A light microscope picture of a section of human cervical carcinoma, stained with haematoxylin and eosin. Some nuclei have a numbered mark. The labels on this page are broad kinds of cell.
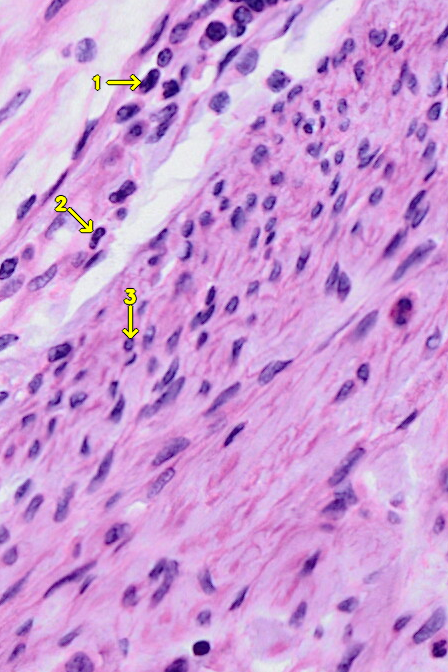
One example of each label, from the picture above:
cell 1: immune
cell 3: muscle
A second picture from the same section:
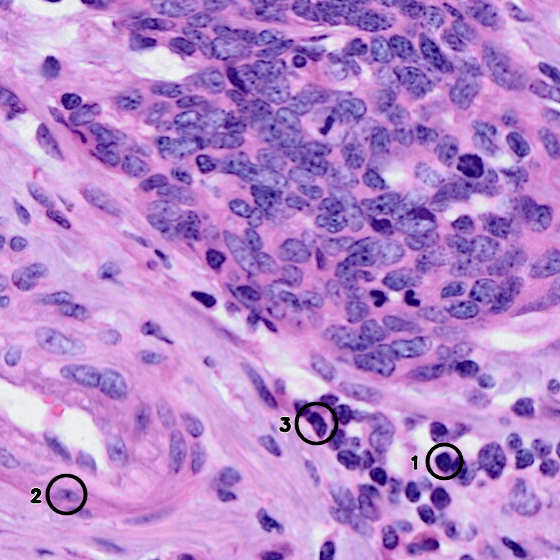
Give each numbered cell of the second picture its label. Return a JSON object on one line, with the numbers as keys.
{"1": "immune", "2": "muscle", "3": "immune"}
